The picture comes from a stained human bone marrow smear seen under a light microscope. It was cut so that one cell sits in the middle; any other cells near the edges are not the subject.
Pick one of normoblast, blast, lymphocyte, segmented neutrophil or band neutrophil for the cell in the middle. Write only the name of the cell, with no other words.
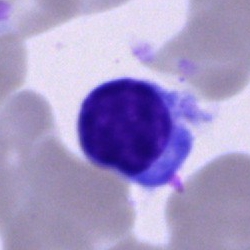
lymphocyte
